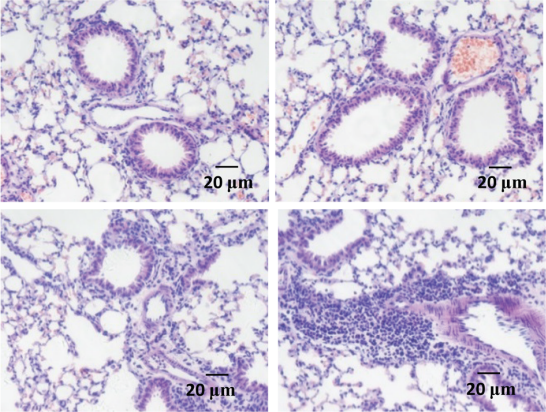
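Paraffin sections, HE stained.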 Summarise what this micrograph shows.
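The airways are round to oval tubes lined by a single continuous layer of columnar epithelial cells, whose nuclei stain purple and form a ring inside the pink cytoplasm. Around the airways lie thin-walled alveolar spaces separated by delicate septa with scattered nuclei, and small vessels, some containing red blood cells, sit beside the airways. In the lower images the tissue around the airways and vessels holds more crowded small nuclei than in the upper ones. In the lower right image a dense band of small cells with dark, round nuclei packs the connective tissue between an airway and a vessel, a marked cuff of inflammatory cells.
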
